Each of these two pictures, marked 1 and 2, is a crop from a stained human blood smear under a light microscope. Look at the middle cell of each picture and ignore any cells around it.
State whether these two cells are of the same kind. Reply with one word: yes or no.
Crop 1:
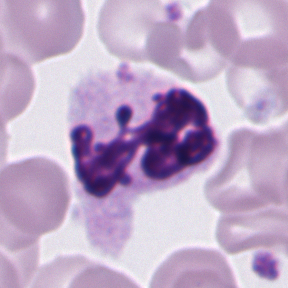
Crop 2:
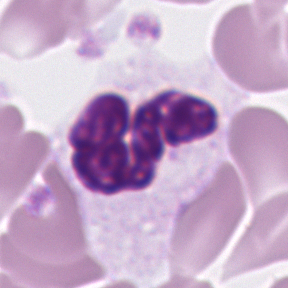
yes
